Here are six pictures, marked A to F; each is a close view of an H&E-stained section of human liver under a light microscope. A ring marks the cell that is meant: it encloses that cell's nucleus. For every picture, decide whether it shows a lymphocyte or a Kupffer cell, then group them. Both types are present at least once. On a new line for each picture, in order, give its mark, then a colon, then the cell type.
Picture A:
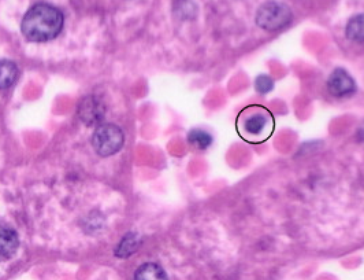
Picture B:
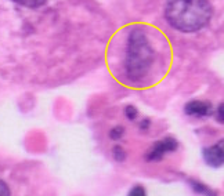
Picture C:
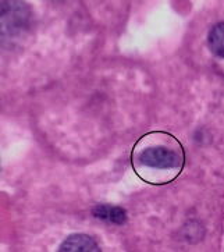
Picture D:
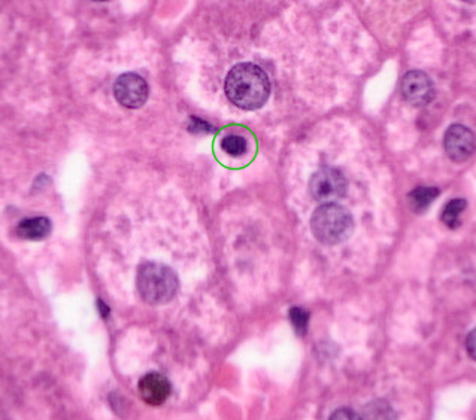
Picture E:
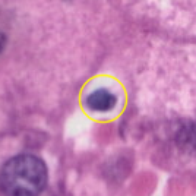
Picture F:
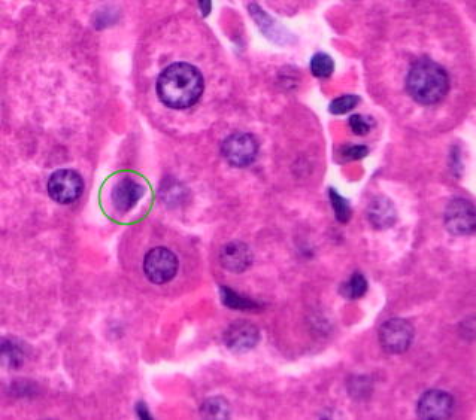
A: lymphocyte
B: Kupffer cell
C: Kupffer cell
D: lymphocyte
E: lymphocyte
F: Kupffer cell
